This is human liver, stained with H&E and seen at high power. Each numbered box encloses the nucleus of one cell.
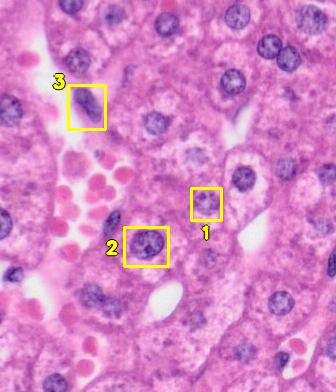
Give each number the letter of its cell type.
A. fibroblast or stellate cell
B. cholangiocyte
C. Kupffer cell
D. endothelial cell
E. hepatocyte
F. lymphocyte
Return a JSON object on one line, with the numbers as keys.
{"1": "E", "2": "E", "3": "C"}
